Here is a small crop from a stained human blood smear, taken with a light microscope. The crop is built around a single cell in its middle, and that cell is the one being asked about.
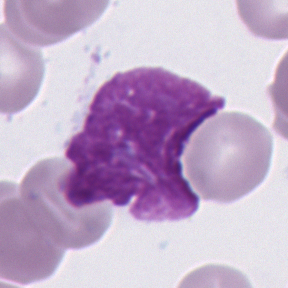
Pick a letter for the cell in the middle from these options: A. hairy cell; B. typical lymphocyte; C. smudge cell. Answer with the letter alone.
C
